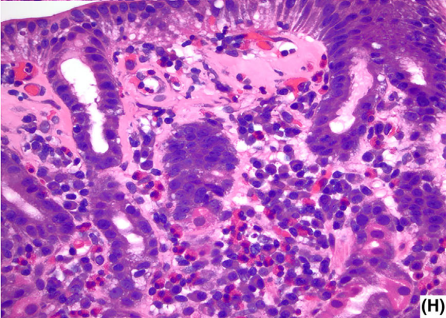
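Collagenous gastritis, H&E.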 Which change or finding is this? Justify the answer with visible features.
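Eosinophils admixed with dense lymphoplasmacytic infiltrate. Lamina propria is packed with small round dark nuclei. Cells with bright red granular cytoplasm are mixed among them.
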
